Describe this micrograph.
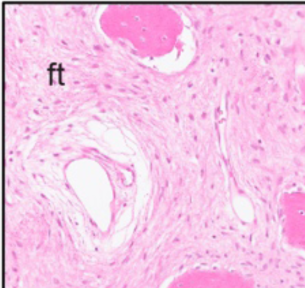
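The fibrous tissue is made of many spindle-shaped cells with small, elongated, dark nuclei, lying in a pale pink, loosely woven matrix that swirls around several thin-walled vessels with empty lumens. The bone trabeculae are dense, bright pink, irregular curved pieces with scattered small lacunae holding single cells; they lie directly within the fibrous tissue. No bundle of nerve fibers is seen among the cells.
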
